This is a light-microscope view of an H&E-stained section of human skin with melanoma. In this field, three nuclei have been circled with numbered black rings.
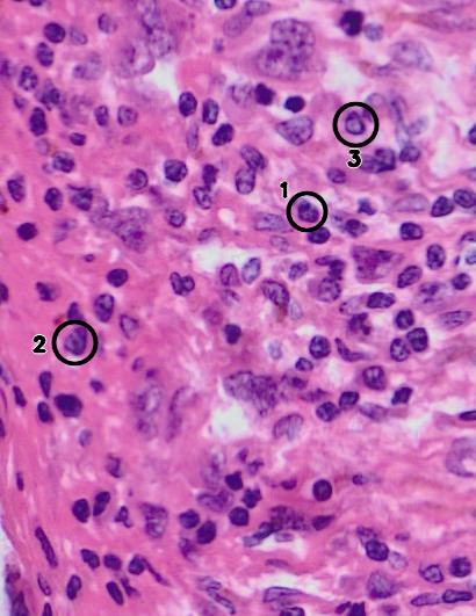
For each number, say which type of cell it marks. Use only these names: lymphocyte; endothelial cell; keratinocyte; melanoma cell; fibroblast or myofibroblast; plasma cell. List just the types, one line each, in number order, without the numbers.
lymphocyte
plasma cell
plasma cell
